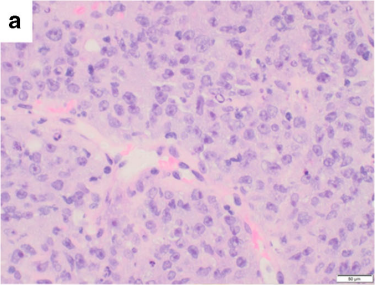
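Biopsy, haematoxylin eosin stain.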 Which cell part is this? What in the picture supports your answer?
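Many nuclei contain a distinct dark dot inside. Nuclei are large relative to the cytoplasm.
Answer: prominent nucleoli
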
